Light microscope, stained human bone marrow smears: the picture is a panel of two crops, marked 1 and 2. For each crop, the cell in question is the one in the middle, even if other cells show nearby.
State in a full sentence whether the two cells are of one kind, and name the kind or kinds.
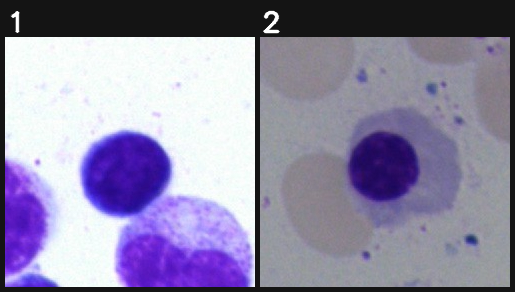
No, mark crop 1 as a lymphocyte and crop 2 as an erythroblast.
